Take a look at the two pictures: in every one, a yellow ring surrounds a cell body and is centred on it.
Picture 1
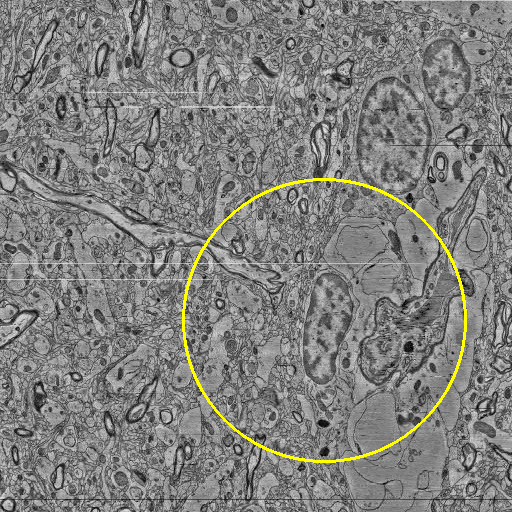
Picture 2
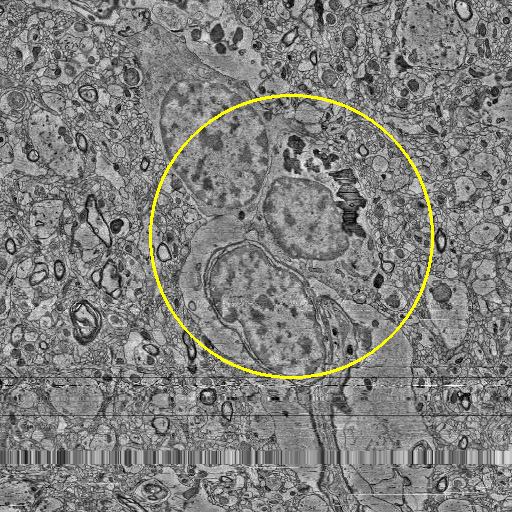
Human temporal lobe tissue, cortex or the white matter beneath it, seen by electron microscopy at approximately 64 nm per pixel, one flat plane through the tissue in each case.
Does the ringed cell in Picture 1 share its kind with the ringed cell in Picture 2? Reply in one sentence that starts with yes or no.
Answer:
No, the two centred cells, one per picture, are of two kinds.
